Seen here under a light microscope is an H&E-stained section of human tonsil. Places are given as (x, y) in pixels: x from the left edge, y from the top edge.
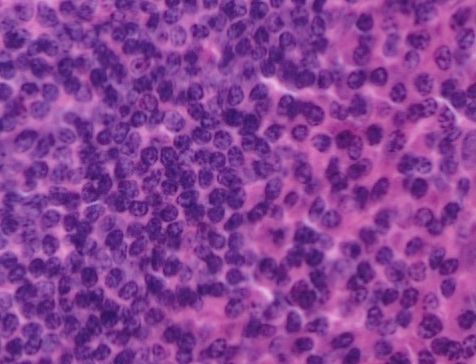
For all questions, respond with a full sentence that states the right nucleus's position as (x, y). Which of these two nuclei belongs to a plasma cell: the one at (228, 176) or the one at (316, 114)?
Of the two, the nucleus at (316, 114) is the one contained in a plasma cell.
